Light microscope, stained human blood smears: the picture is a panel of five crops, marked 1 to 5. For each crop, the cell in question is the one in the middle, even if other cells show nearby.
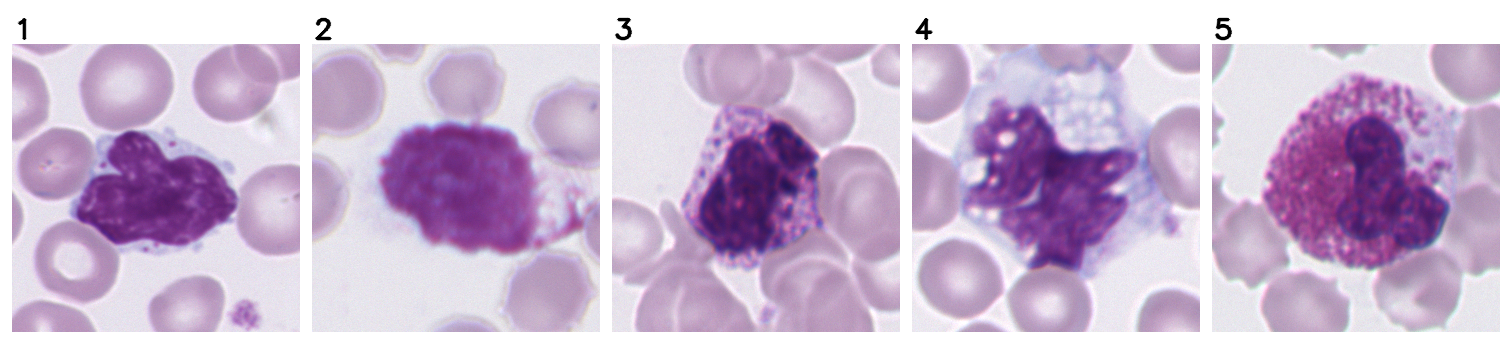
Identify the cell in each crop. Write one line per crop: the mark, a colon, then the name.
1: large granular lymphocyte
2: smudge cell
3: basophil
4: monocyte
5: eosinophil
